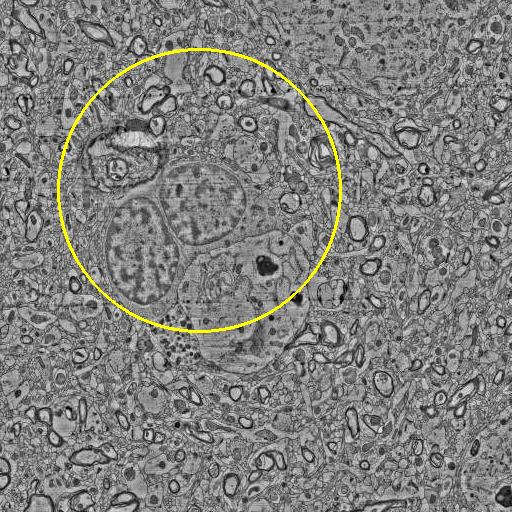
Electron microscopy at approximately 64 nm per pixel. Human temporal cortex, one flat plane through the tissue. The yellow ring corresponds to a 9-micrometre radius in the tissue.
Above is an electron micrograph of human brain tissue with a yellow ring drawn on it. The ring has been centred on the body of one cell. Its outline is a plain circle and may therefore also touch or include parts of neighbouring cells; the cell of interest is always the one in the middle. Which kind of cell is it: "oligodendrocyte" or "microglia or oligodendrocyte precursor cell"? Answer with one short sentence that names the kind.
The ring's central cell body is that of an oligodendrocyte.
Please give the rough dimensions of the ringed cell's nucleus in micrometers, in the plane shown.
Roughly 5 micrometres across for the nucleus, in this plane.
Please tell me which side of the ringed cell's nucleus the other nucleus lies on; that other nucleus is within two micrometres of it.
That second nucleus is to the lower left of it.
